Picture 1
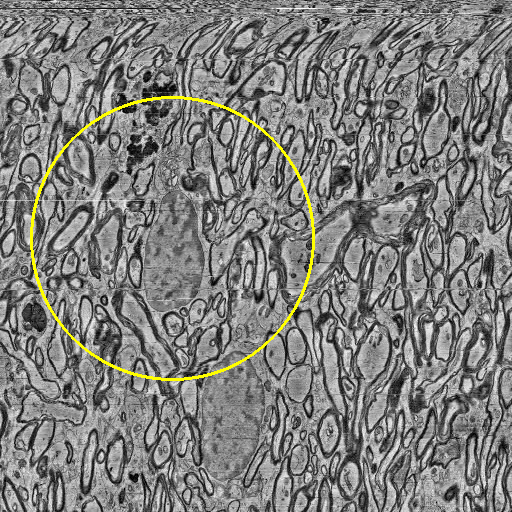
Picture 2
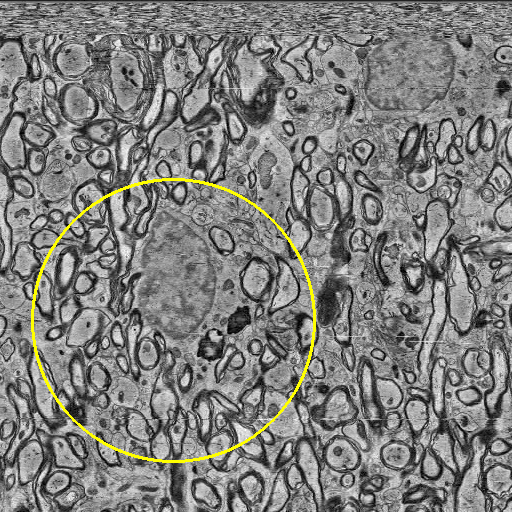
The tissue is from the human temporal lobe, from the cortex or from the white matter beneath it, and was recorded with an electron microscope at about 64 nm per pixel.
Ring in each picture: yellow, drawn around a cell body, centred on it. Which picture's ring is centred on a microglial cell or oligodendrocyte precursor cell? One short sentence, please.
Picture 1 is the one.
